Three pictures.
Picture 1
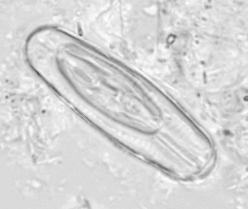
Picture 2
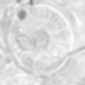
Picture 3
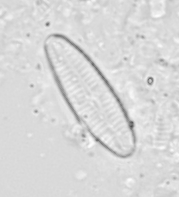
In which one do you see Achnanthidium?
In picture 3.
